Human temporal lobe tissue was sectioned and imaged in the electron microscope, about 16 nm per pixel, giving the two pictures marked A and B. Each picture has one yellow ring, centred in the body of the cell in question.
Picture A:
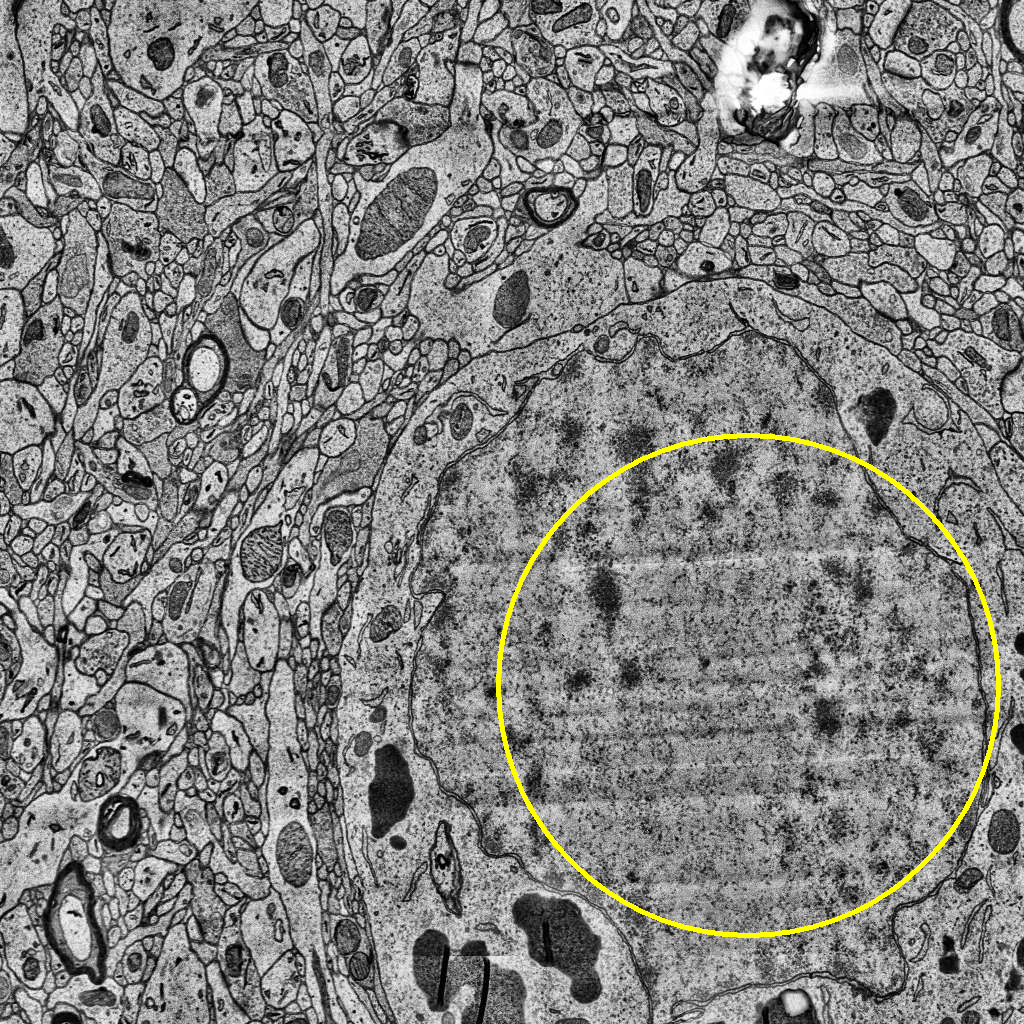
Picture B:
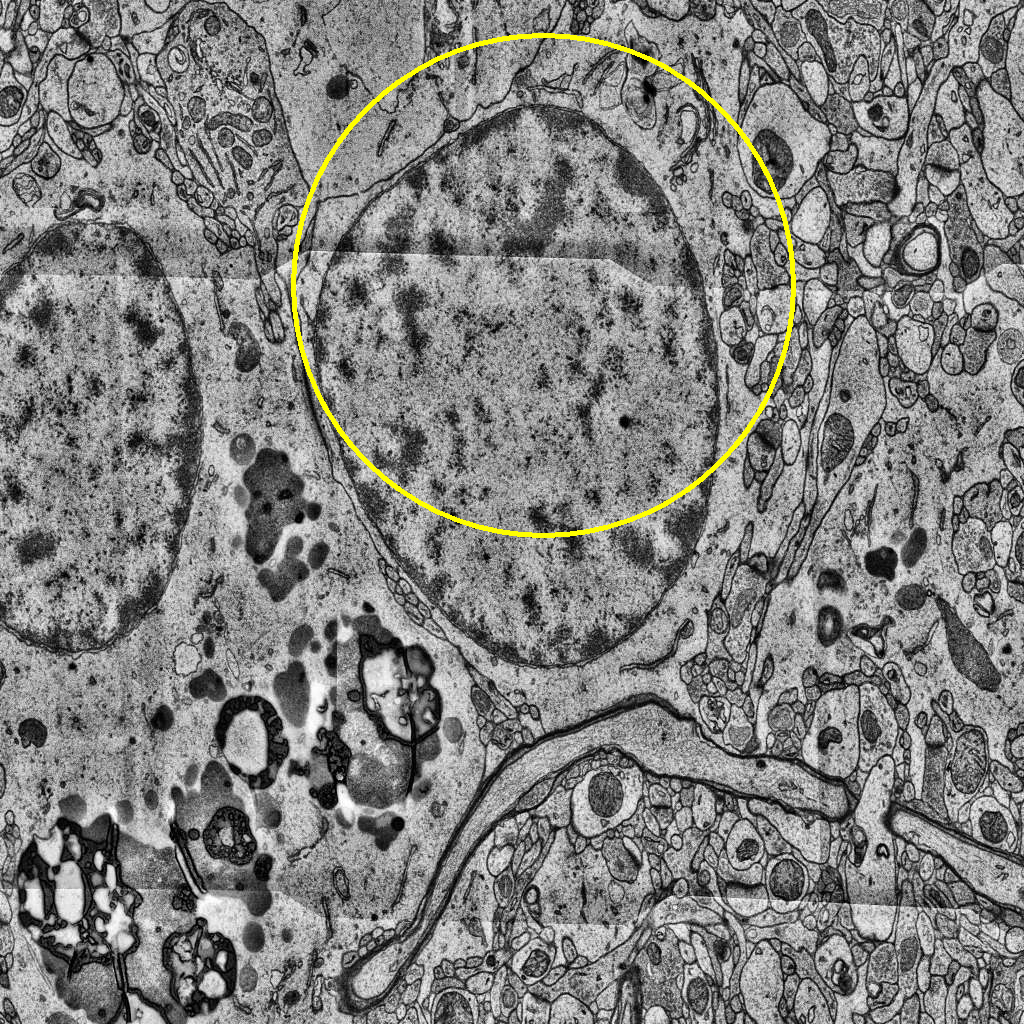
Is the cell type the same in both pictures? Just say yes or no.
no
